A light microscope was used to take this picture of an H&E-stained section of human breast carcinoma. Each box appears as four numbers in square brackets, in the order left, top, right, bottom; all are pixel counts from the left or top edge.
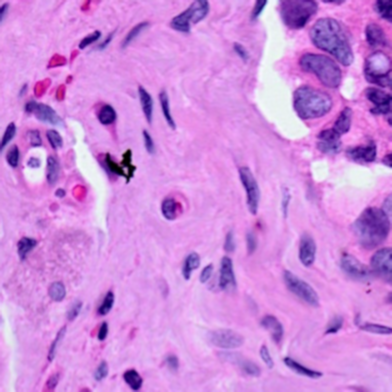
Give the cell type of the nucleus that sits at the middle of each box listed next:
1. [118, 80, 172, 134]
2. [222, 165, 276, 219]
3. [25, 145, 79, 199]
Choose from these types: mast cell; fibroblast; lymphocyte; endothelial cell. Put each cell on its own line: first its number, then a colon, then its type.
1: fibroblast
2: fibroblast
3: endothelial cell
